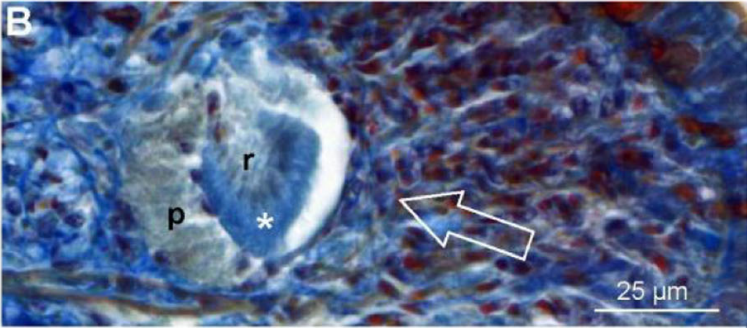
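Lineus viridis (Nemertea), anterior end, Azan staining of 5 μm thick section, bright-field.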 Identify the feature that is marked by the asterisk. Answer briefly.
Receptive region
